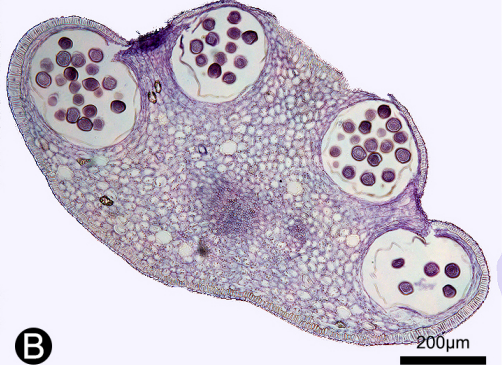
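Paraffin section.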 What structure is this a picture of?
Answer: Four pollen sacs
